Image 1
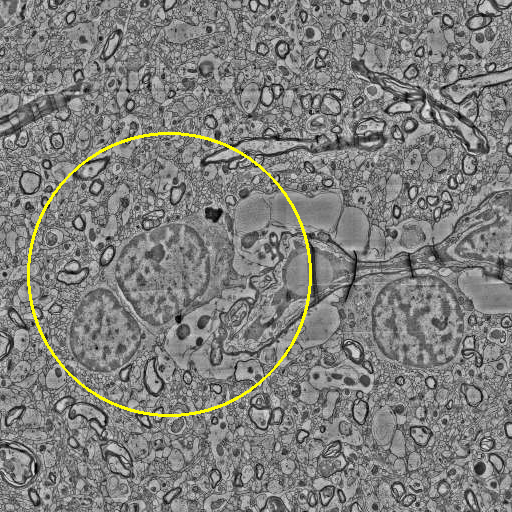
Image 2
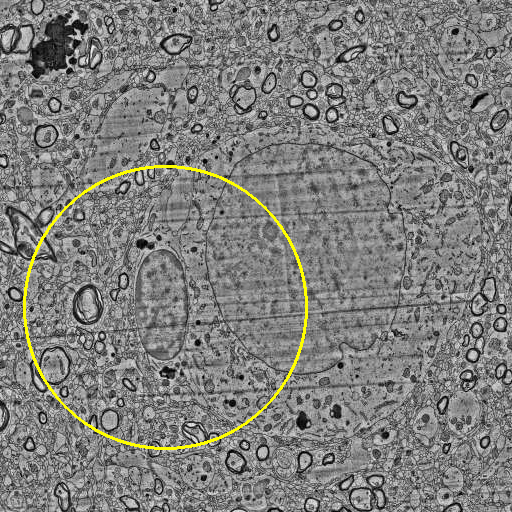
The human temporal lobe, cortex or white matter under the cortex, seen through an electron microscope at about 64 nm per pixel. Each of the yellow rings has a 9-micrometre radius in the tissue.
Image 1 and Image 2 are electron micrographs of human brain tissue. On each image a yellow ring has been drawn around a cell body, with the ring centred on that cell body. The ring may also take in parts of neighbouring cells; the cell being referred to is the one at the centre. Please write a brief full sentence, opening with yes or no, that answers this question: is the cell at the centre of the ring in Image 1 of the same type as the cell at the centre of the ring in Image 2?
No, the two cells are of two types.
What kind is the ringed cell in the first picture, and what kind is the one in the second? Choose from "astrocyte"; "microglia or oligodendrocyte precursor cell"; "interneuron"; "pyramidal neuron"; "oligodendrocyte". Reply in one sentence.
The first cell is an oligodendrocyte; the second is a microglial cell or oligodendrocyte precursor cell.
